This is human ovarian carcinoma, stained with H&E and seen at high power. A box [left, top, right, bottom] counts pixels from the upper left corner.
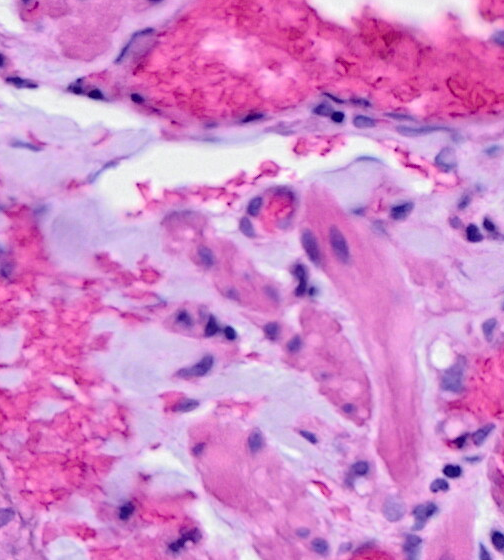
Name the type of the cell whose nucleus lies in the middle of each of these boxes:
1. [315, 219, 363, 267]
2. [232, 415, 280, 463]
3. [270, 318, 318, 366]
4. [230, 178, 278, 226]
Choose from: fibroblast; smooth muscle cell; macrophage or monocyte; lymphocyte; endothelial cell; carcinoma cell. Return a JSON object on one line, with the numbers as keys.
{"1": "smooth muscle cell", "2": "smooth muscle cell", "3": "smooth muscle cell", "4": "endothelial cell"}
